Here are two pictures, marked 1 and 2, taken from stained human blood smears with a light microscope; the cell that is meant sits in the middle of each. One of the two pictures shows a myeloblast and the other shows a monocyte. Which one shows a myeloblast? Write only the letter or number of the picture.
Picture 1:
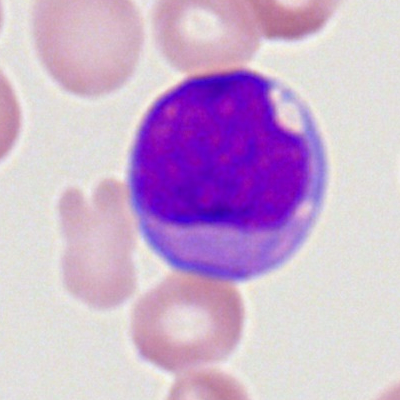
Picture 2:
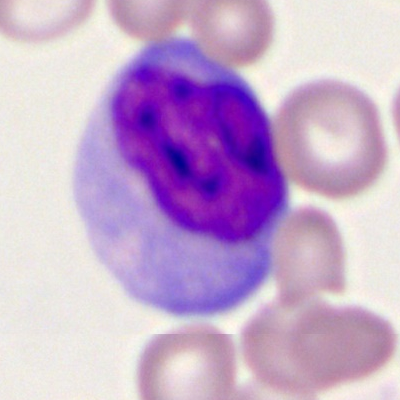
1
